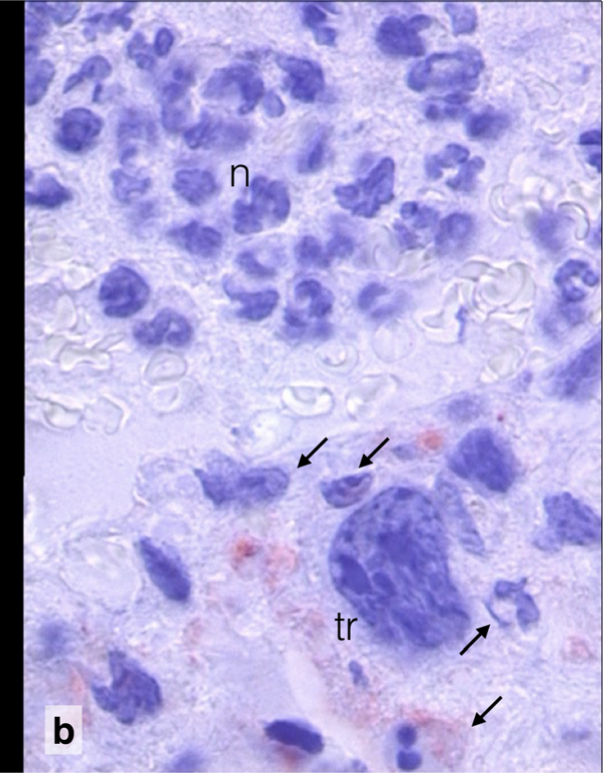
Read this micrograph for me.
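At high magnification, the upper part is a dense collection of neutrophil granulocytes with lobed, segmented purple nuclei, lying among pale, ring-shaped erythrocytes. Below them a large trophoblast cell with a big, irregular, dark-blue nucleus is seen, its surrounding cytoplasm carrying faint red granular staining.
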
